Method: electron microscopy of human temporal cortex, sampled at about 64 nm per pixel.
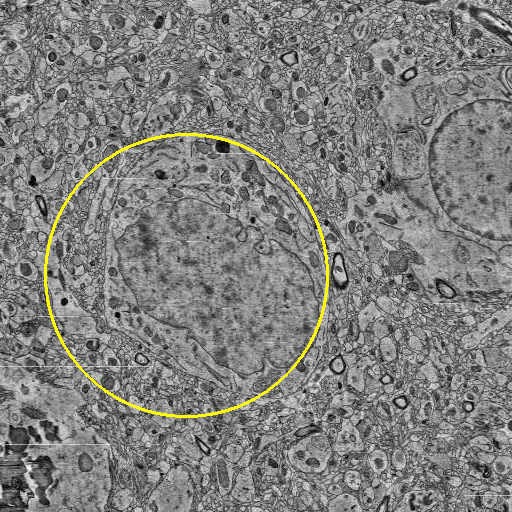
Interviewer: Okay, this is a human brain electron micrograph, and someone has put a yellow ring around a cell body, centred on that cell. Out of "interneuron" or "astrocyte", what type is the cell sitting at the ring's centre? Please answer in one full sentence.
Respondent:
The cell at the centre of the yellow ring in this picture is an interneuron.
